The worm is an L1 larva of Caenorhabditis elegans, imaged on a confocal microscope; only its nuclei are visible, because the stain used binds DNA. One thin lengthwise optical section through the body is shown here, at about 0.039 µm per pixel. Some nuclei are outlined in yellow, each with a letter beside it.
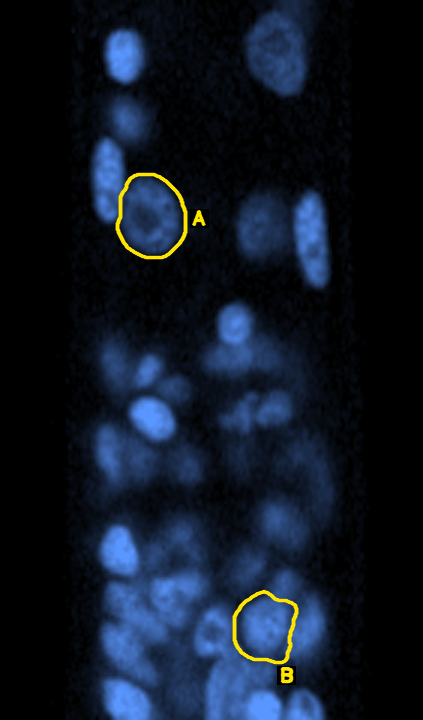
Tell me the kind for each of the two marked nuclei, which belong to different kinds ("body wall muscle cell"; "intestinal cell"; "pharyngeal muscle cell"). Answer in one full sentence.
A belongs to an intestinal cell and B to a pharyngeal muscle cell.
